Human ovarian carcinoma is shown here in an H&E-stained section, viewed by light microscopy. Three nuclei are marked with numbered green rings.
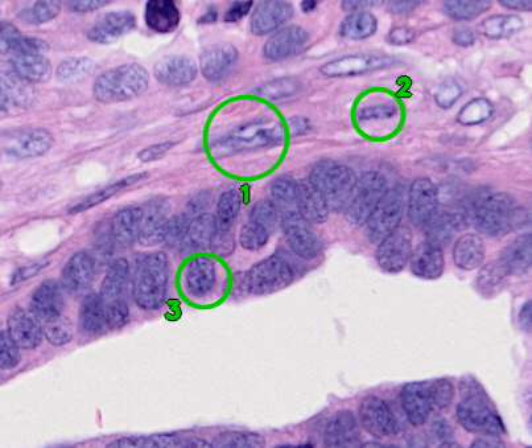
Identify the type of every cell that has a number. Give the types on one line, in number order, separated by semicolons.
fibroblast; fibroblast; carcinoma cell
